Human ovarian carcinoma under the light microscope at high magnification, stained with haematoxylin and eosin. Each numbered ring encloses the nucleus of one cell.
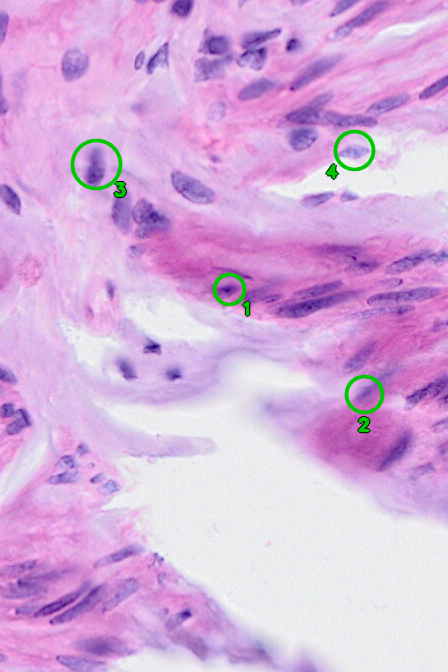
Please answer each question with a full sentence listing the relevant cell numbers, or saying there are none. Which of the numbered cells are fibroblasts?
Only cell 3 should be marked as a fibroblast.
